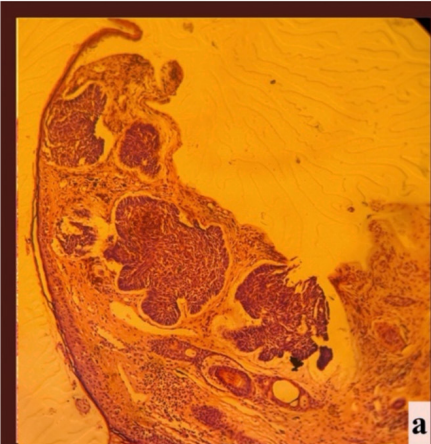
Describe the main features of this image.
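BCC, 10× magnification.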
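This section of skin shows large, basaloid tumor islands lying in the dermis beneath a thin surface epithelium. The islands are rounded to lobulated and made of densely packed cells with dark-staining nuclei and scant cytoplasm, so they appear much darker than the surrounding tissue. Narrow clear clefts separate parts of the islands from the adjacent stroma. The stroma between the islands is paler and fibrous, and small vessels and adnexal structures are visible toward the base of the section. The surface at one end appears disrupted, with tumor tissue reaching close to it.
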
